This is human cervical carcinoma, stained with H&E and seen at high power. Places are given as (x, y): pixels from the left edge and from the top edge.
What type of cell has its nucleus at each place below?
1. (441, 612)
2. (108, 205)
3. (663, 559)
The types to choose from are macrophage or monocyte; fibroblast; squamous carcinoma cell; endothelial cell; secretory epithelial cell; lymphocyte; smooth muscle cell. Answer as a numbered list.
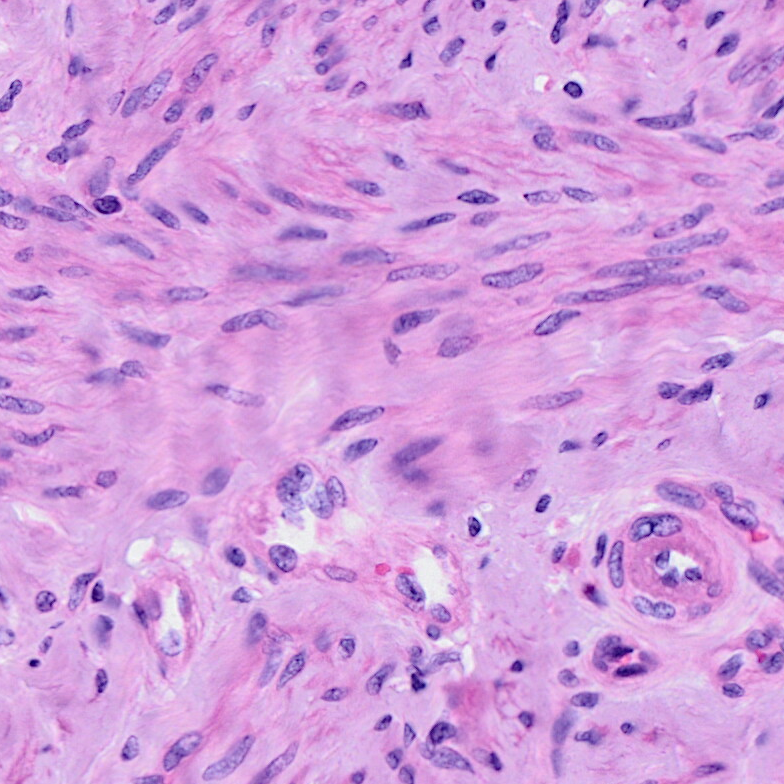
1. endothelial cell
2. lymphocyte
3. endothelial cell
